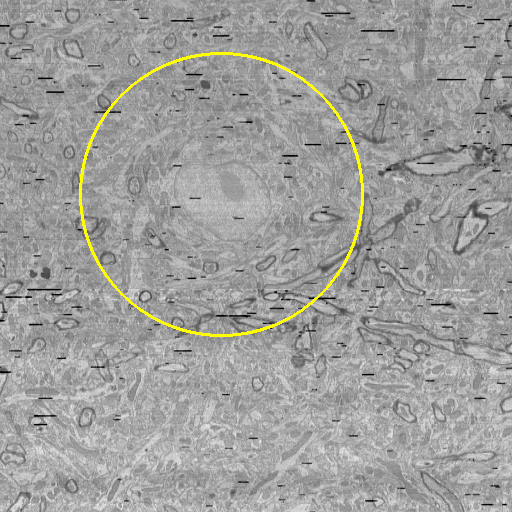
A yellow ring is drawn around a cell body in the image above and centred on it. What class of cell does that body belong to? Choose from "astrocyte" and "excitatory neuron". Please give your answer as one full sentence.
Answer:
The yellow ring above is centred on the cell body of an astrocyte.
